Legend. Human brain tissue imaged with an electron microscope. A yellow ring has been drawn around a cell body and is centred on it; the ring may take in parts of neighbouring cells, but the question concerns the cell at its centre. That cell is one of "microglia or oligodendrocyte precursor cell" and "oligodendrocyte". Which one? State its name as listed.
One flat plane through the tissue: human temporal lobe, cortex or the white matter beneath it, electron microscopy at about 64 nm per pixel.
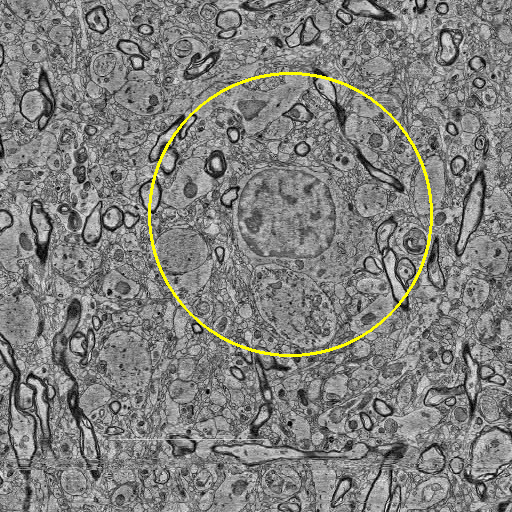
oligodendrocyte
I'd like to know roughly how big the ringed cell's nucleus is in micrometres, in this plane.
The nucleus of the ringed cell is approximately 6 micrometres across in this plane.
